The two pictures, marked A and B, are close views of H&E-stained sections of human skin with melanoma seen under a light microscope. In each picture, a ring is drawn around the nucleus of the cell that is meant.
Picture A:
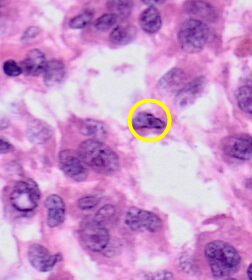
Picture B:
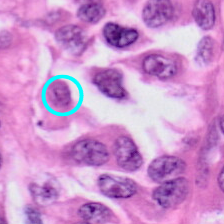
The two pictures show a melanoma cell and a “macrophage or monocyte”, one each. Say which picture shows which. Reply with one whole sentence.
Picture A shows a “macrophage or monocyte” and picture B shows a melanoma cell.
